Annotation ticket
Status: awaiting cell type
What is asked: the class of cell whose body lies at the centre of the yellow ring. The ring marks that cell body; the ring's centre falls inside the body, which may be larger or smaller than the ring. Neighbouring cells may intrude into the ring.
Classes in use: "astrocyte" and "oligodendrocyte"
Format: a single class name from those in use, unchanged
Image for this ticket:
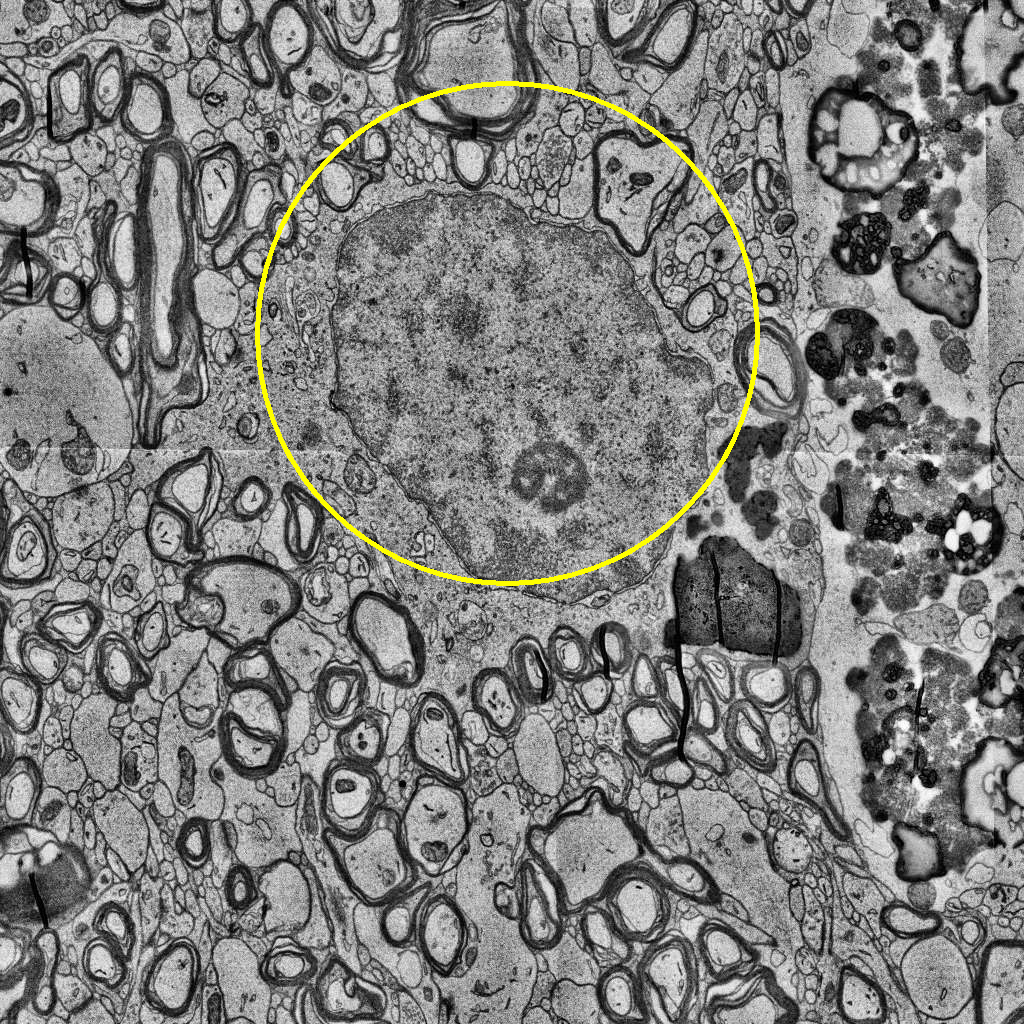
oligodendrocyte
